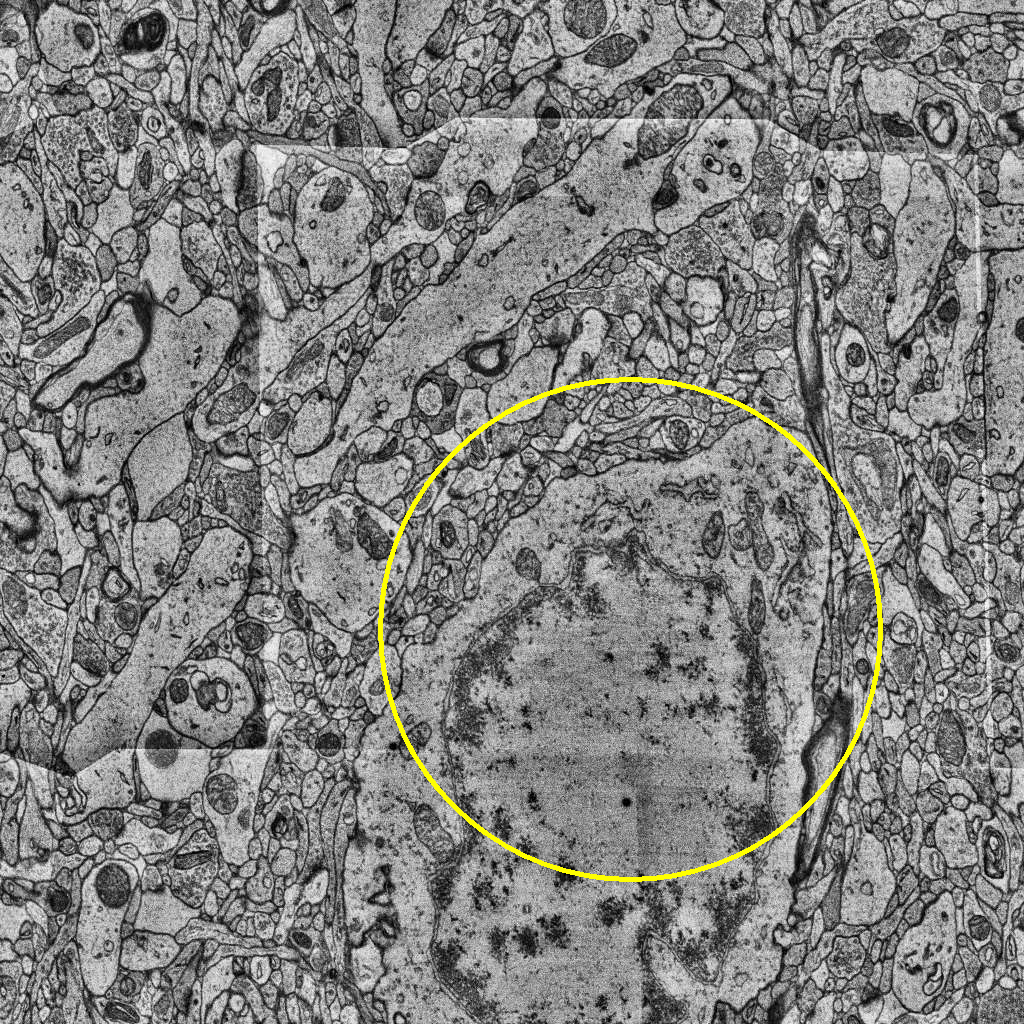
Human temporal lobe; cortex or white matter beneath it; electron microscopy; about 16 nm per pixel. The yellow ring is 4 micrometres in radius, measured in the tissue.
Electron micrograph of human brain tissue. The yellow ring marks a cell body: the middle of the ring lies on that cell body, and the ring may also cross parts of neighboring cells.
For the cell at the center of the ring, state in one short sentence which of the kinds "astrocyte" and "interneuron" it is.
This ring's center lies on an interneuron.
